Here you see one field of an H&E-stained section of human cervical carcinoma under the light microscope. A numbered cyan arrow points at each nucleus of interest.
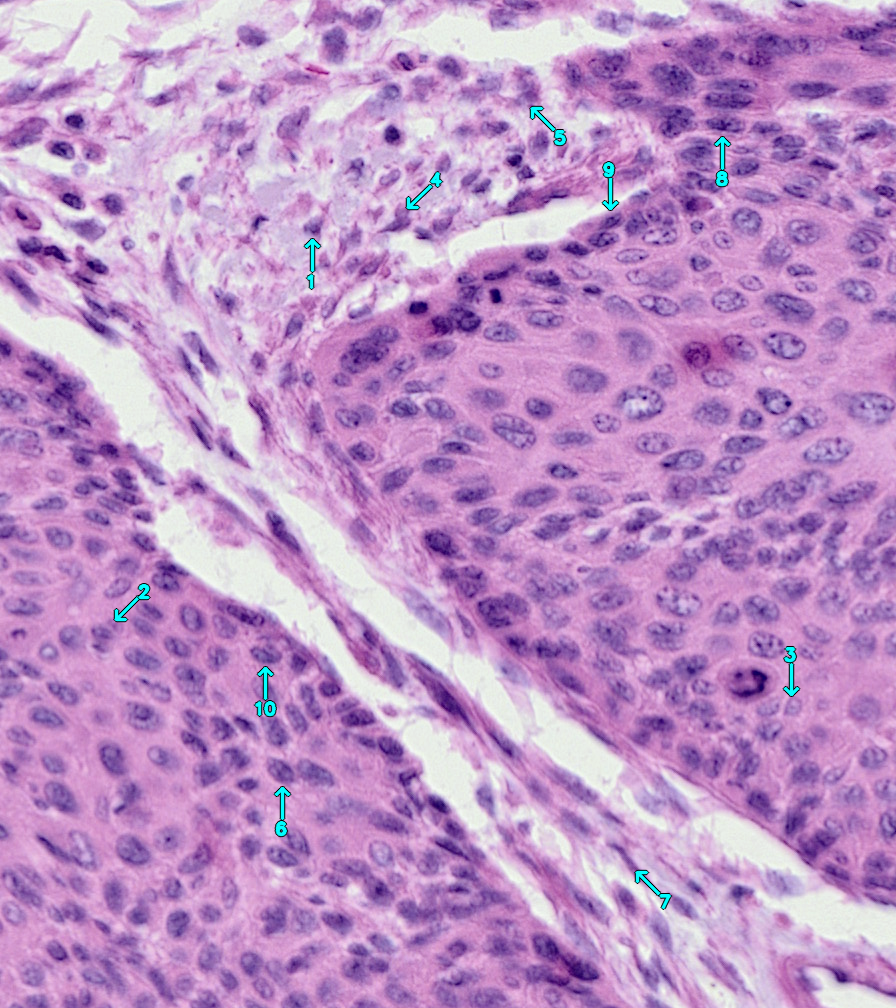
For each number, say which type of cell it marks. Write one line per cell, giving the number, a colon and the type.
1: fibroblast
2: squamous carcinoma cell
3: squamous carcinoma cell
4: fibroblast
5: fibroblast
6: squamous carcinoma cell
7: fibroblast
8: squamous carcinoma cell
9: squamous carcinoma cell
10: squamous carcinoma cell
